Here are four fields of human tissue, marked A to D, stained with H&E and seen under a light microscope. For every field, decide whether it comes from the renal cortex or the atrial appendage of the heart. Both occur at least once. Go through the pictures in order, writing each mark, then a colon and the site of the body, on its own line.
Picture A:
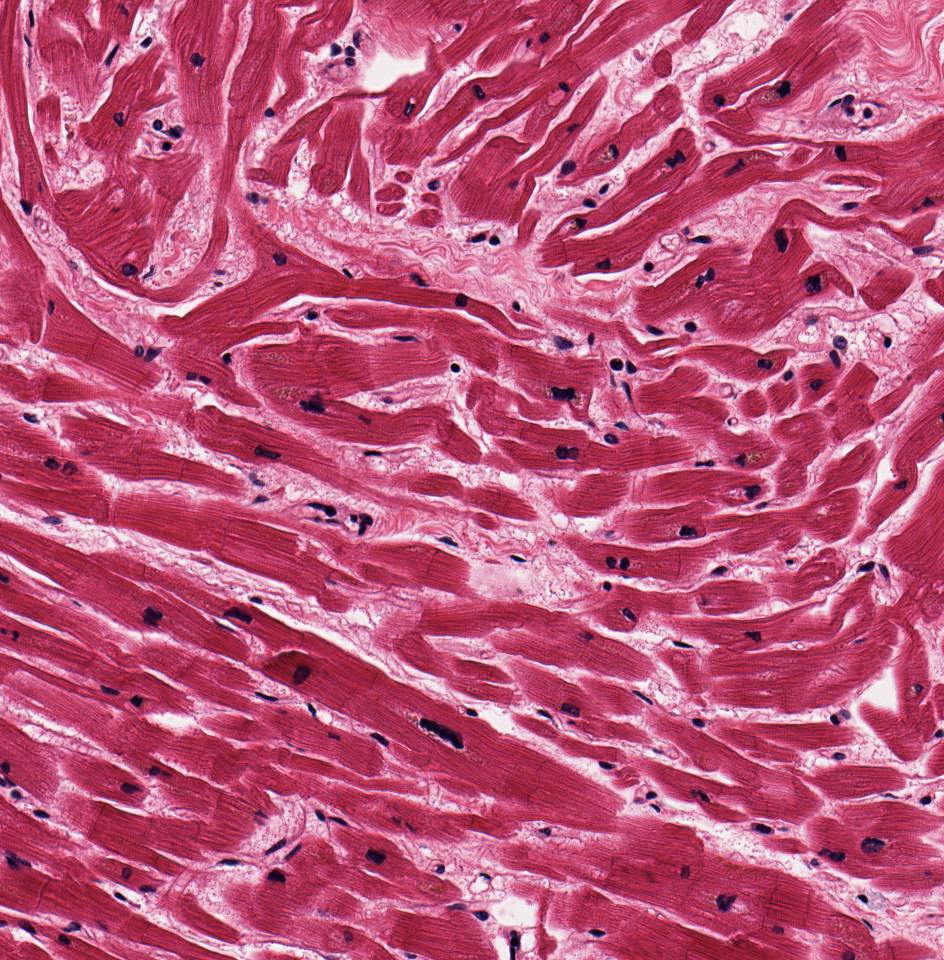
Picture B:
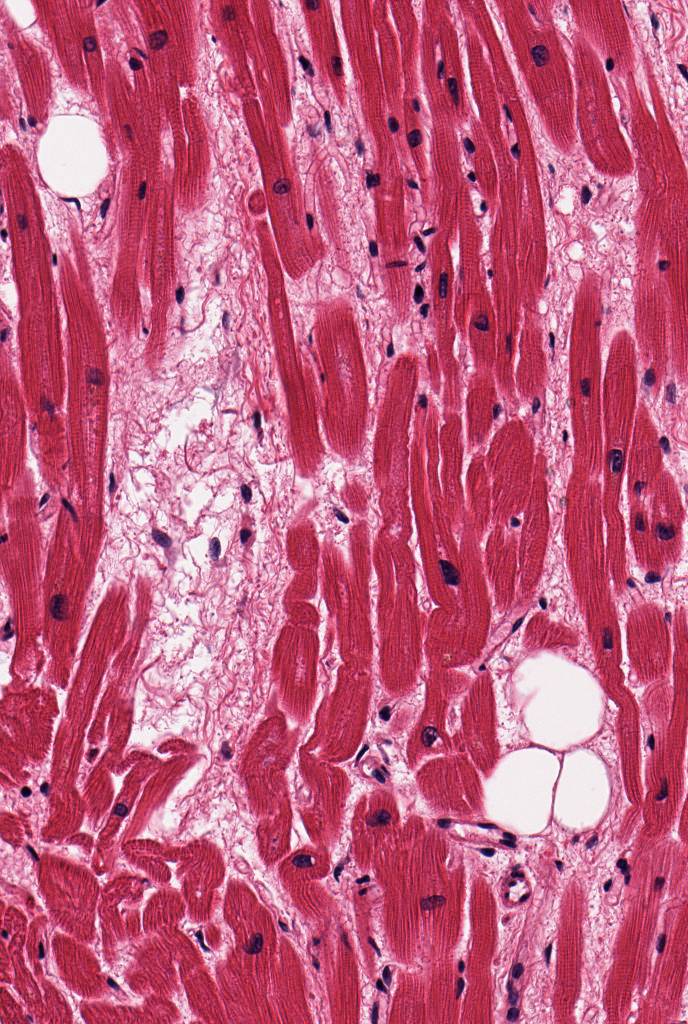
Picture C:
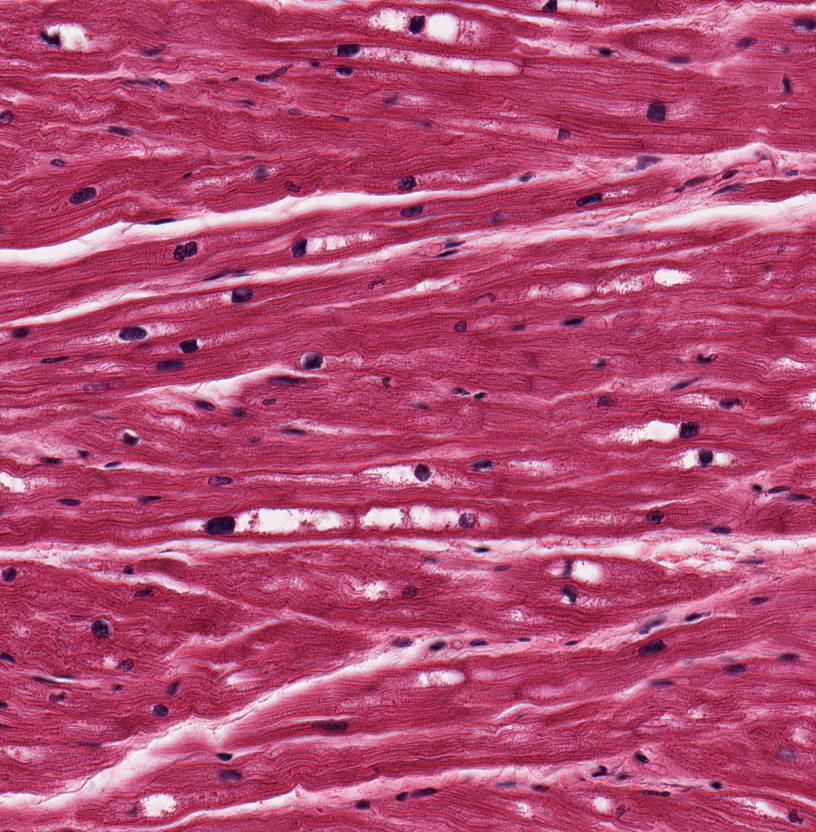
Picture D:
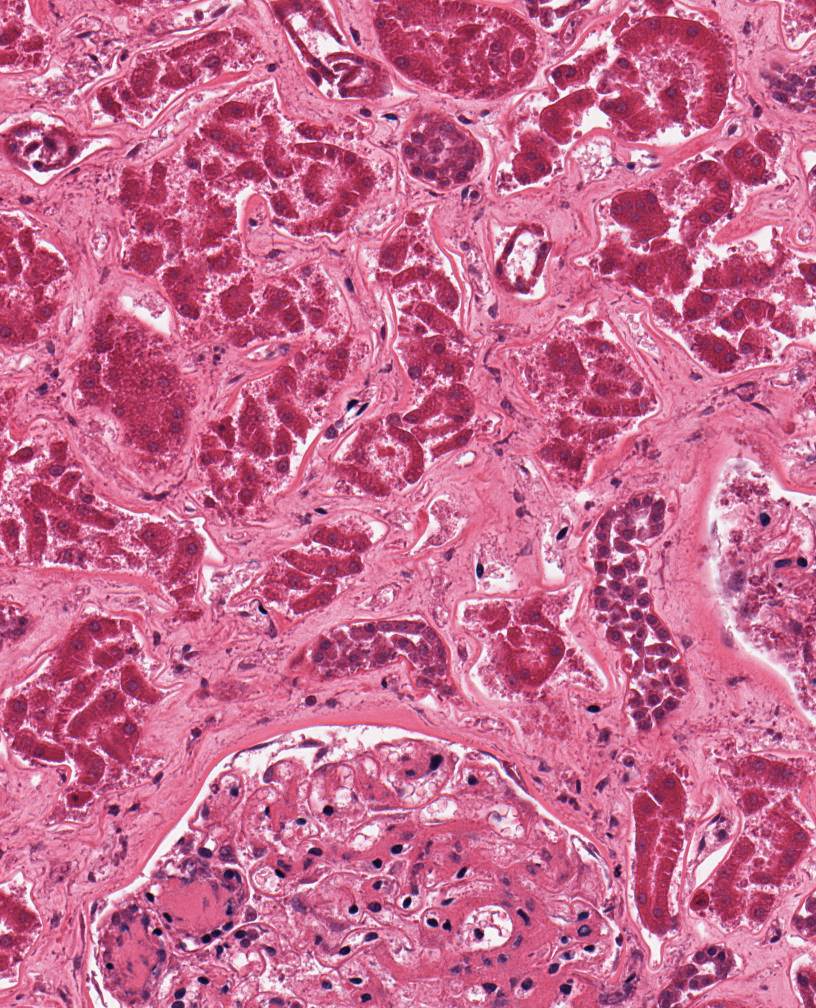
A: atrial appendage of the heart
B: atrial appendage of the heart
C: atrial appendage of the heart
D: renal cortex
